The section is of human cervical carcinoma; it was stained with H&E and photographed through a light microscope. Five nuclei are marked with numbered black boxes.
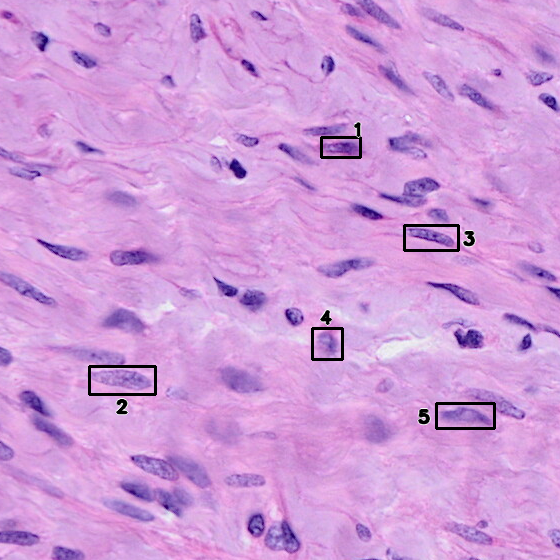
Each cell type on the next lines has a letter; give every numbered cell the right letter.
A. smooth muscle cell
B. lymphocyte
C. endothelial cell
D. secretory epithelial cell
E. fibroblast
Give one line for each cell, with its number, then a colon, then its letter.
1: A
2: E
3: E
4: C
5: E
